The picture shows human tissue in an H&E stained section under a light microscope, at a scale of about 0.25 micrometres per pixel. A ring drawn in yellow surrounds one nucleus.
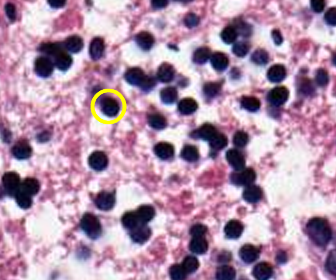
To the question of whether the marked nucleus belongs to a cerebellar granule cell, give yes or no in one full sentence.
Yes, in this section the marked nucleus belongs to a cerebellar granule cell.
